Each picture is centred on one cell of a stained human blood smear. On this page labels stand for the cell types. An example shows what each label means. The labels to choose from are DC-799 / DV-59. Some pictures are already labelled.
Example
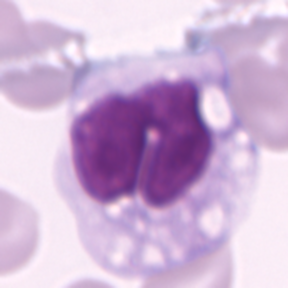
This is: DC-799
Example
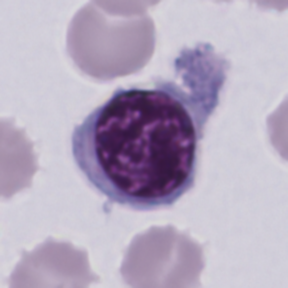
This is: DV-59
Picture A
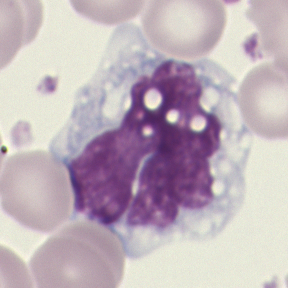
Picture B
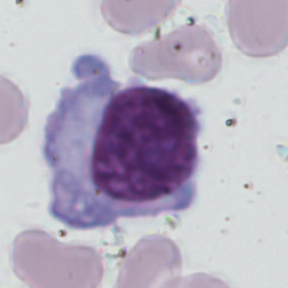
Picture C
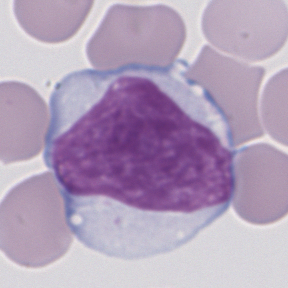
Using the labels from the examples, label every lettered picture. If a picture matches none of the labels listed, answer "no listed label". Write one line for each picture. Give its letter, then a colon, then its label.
A: DC-799
B: DV-59
C: no listed label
